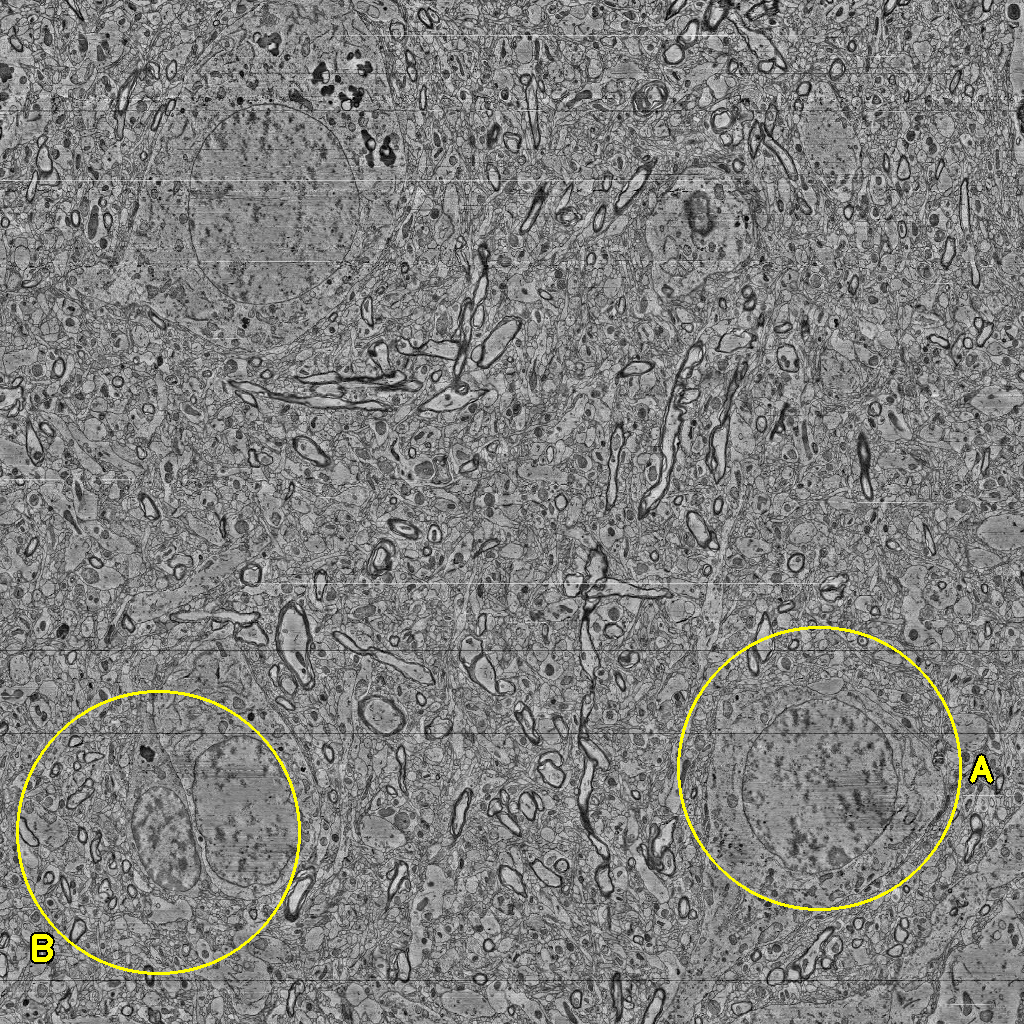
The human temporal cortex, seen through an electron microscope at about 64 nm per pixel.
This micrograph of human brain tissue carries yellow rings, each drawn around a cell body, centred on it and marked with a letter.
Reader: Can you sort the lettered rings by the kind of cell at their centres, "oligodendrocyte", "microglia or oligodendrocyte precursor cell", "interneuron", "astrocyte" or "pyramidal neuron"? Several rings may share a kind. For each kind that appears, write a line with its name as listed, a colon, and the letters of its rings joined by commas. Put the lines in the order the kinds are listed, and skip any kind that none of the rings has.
oligodendrocyte: B
pyramidal neuron: A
